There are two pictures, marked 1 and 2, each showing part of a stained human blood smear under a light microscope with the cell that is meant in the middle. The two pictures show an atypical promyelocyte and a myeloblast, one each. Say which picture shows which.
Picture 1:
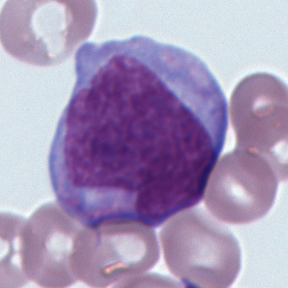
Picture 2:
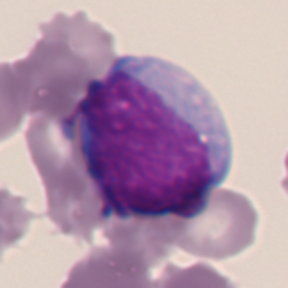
1: atypical promyelocyte
2: myeloblast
